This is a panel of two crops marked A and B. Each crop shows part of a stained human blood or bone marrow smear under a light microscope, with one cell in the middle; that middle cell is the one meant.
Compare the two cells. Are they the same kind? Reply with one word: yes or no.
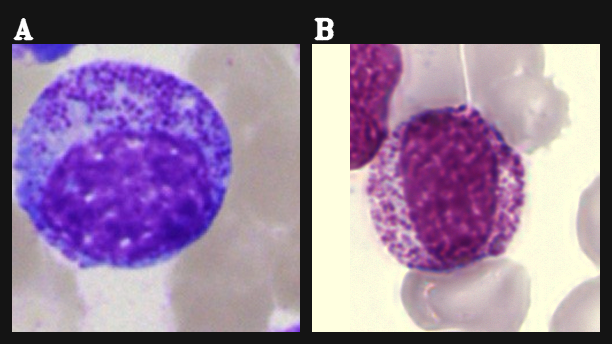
yes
